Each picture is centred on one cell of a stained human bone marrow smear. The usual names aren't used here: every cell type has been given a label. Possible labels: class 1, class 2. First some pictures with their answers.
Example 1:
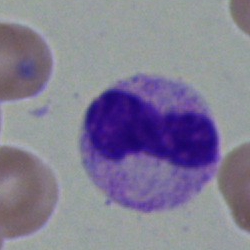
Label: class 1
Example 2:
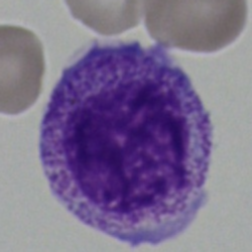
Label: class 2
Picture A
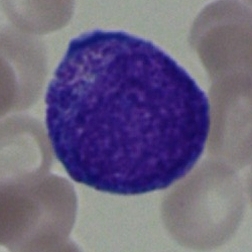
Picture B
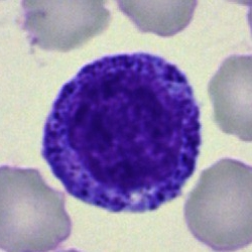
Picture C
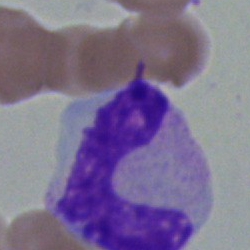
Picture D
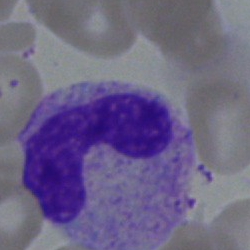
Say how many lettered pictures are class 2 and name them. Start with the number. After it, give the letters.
Count: 2 (A, B)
